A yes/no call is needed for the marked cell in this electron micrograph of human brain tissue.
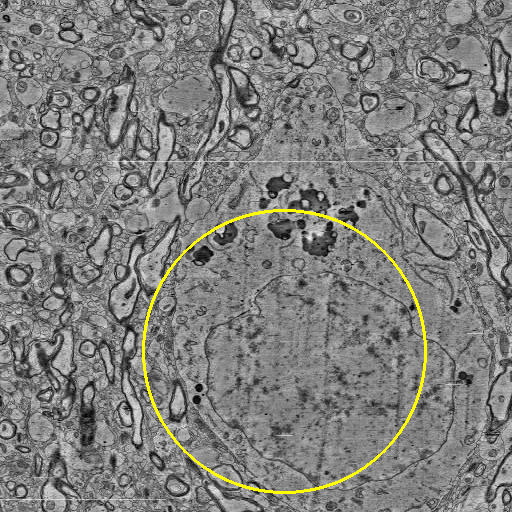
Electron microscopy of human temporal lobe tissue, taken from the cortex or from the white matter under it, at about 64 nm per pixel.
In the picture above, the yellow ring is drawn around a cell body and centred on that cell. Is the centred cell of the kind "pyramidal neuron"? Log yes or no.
yes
